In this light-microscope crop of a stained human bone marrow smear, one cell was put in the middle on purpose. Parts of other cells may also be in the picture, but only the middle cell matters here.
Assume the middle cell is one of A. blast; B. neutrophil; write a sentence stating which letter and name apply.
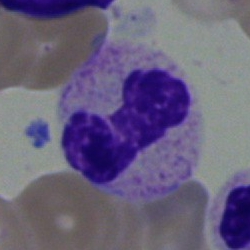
Here the central cell is a neutrophil, and option B is correct.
